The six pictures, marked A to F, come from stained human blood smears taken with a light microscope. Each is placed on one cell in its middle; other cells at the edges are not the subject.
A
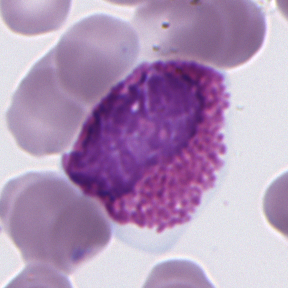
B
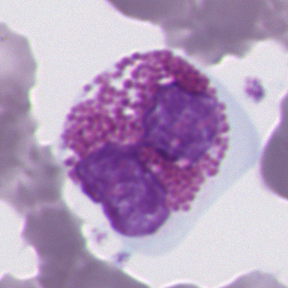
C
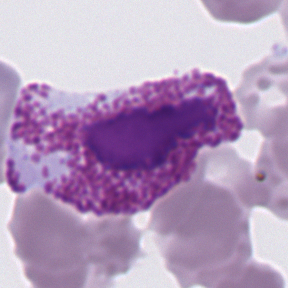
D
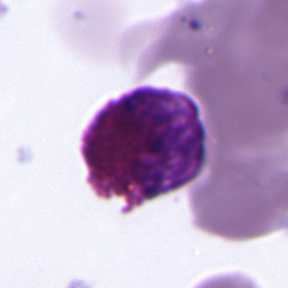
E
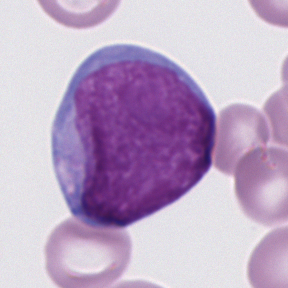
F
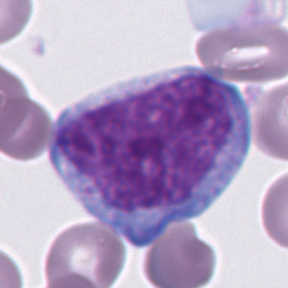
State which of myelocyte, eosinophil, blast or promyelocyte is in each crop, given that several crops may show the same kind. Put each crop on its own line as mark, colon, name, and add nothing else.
A: eosinophil
B: eosinophil
C: eosinophil
D: eosinophil
E: blast
F: promyelocyte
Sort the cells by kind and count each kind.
eosinophil: 4
blast: 1
promyelocyte: 1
